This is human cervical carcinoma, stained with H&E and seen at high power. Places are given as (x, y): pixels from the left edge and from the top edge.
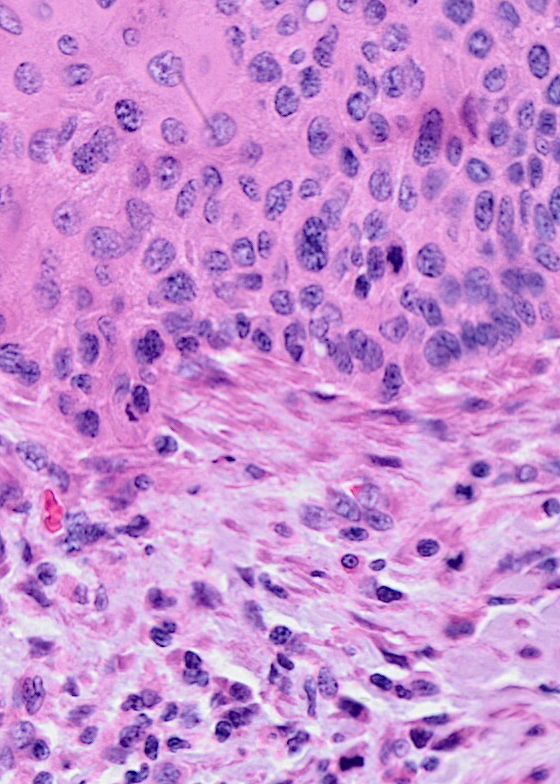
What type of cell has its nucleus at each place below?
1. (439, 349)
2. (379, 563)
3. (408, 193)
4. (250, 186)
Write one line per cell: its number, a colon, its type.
1: squamous carcinoma cell
2: lymphocyte
3: squamous carcinoma cell
4: squamous carcinoma cell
